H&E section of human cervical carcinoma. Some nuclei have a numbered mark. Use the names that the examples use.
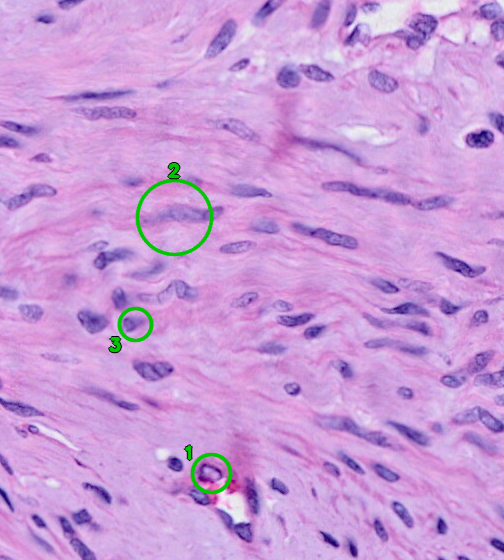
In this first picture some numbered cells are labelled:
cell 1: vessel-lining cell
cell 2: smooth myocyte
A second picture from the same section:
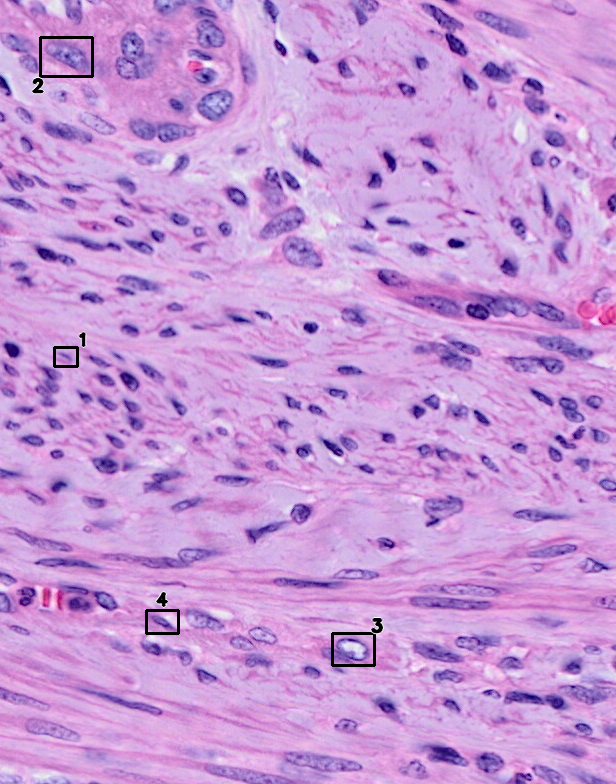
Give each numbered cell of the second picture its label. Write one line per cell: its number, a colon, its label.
1: smooth myocyte
2: smooth myocyte
3: vessel-lining cell
4: vessel-lining cell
